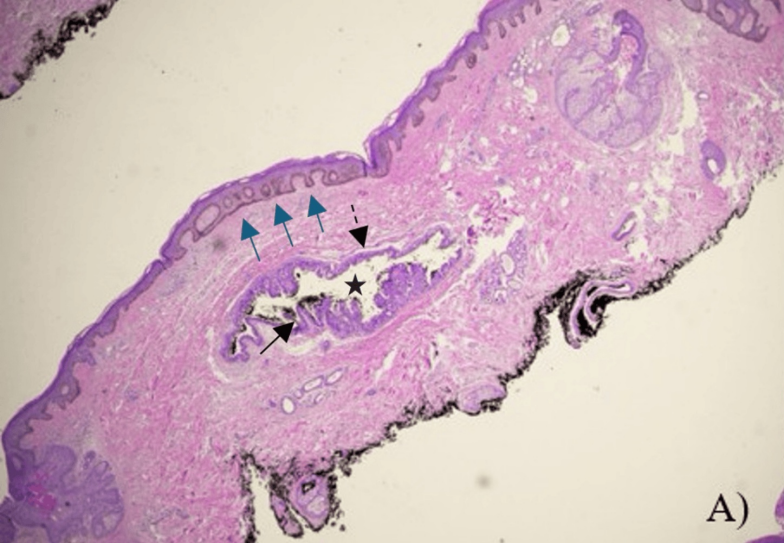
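Skin with a thickened, undulating epidermis overlying a pink collagenous dermis. Within the dermis lies a well-circumscribed, elongated cystic space lined by a thin purple epithelium. Folded papillary fronds of epithelium project into the lumen from its wall. Small glandular and ductal profiles are scattered in the surrounding dermis.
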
